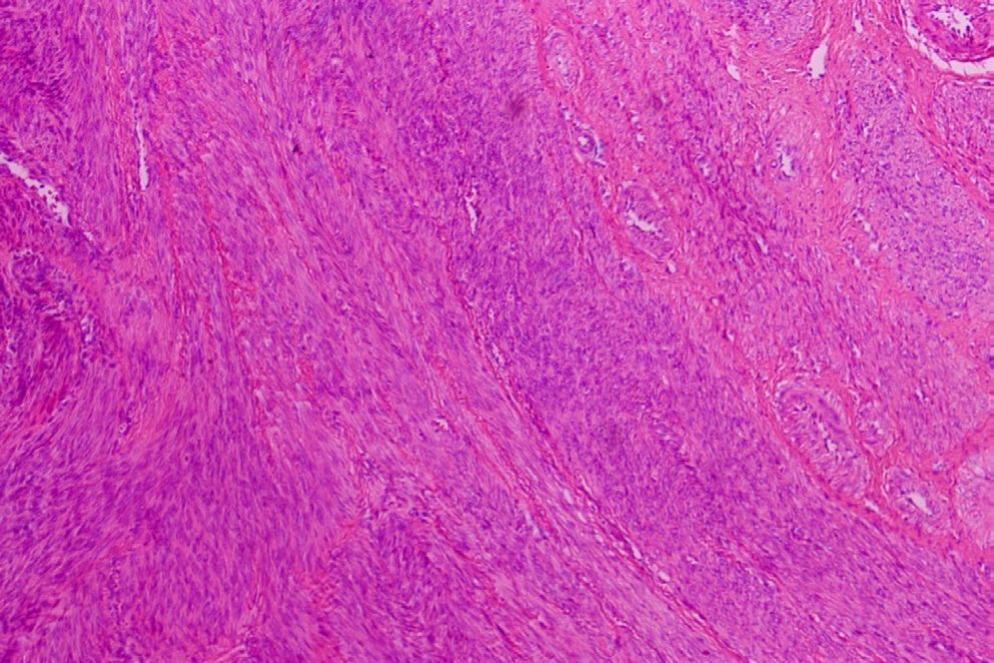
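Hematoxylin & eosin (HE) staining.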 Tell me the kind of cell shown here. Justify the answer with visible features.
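Densely packed elongated cells with pink cytoplasm. The answer: spindle‐shaped smooth muscle cells.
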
